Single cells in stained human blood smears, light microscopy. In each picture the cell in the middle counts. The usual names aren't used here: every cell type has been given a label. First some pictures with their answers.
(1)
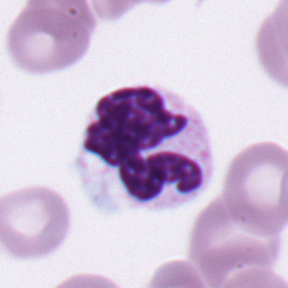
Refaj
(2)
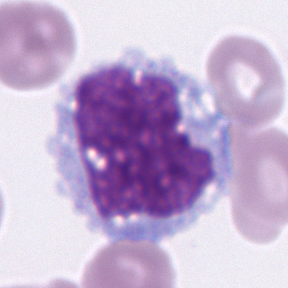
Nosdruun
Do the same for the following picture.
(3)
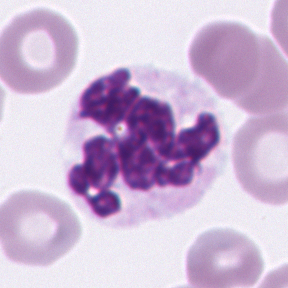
Refaj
